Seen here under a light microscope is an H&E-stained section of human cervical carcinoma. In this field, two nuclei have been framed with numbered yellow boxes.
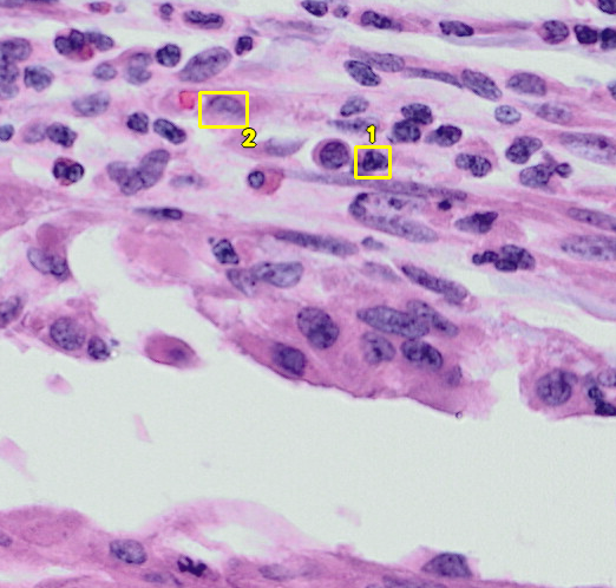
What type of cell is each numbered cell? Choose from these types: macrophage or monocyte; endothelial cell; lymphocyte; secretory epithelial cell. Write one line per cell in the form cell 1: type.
cell 1: lymphocyte
cell 2: endothelial cell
